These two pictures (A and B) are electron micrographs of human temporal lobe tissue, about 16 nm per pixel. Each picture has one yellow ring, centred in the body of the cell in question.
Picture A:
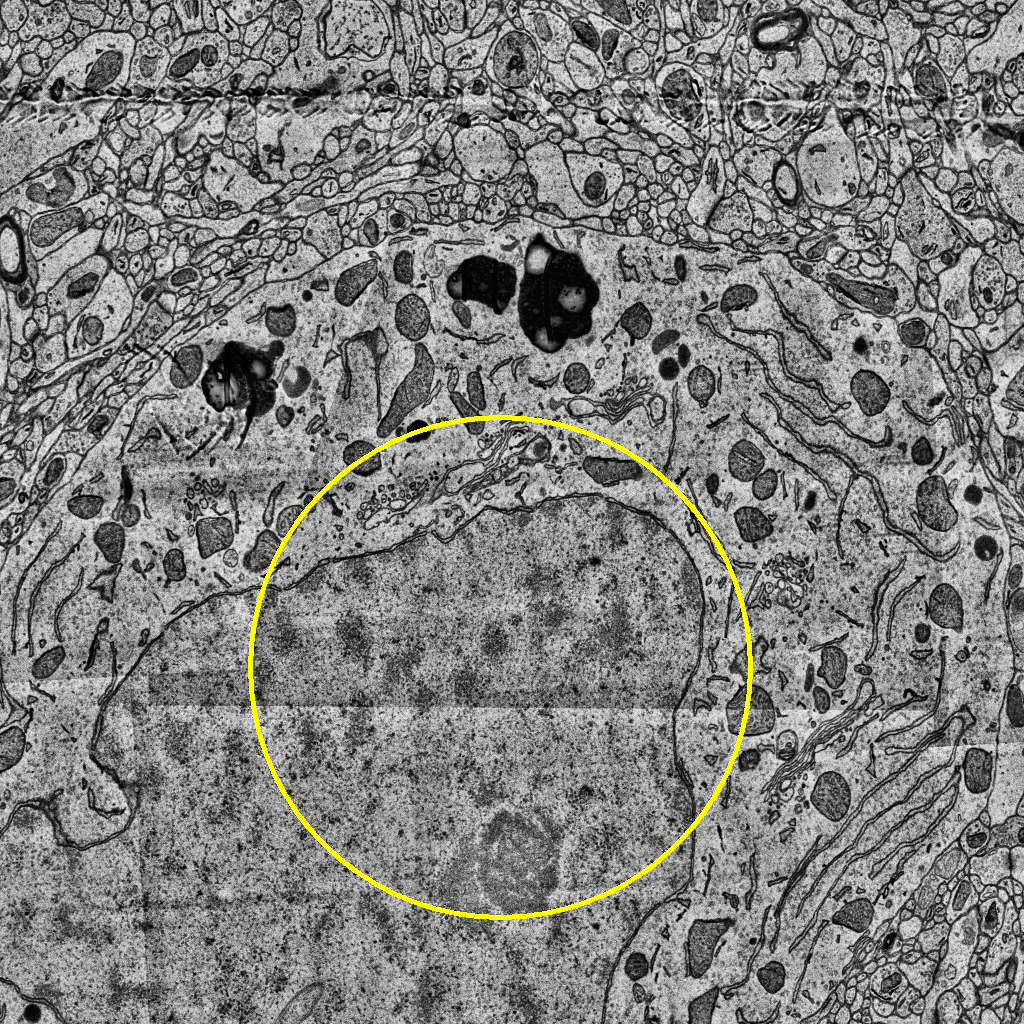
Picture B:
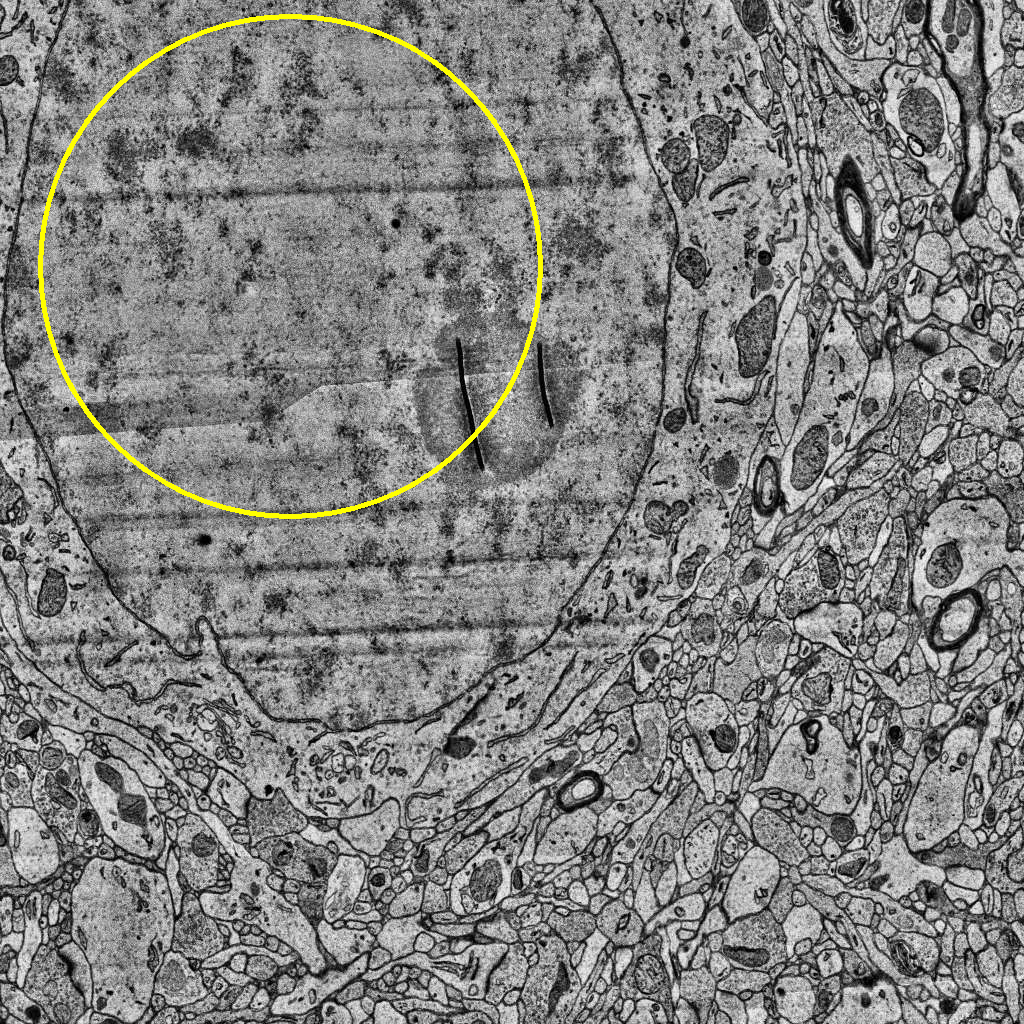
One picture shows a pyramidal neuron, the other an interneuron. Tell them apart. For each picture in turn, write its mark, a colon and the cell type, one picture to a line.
A: interneuron
B: pyramidal neuron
